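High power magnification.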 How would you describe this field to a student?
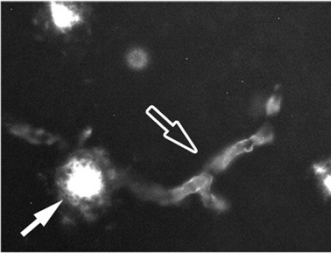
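On the left lies a plaque: a bright, roughly round mass with a dense centre and a fuzzy, radiating rim. Extending from near it is a long, branching tubular structure whose wall is outlined by less intense, patchy fluorescence, giving it a beaded, vessel-like appearance rather than a compact shape. No individual cell bodies or nuclei can be made out in this stain.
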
